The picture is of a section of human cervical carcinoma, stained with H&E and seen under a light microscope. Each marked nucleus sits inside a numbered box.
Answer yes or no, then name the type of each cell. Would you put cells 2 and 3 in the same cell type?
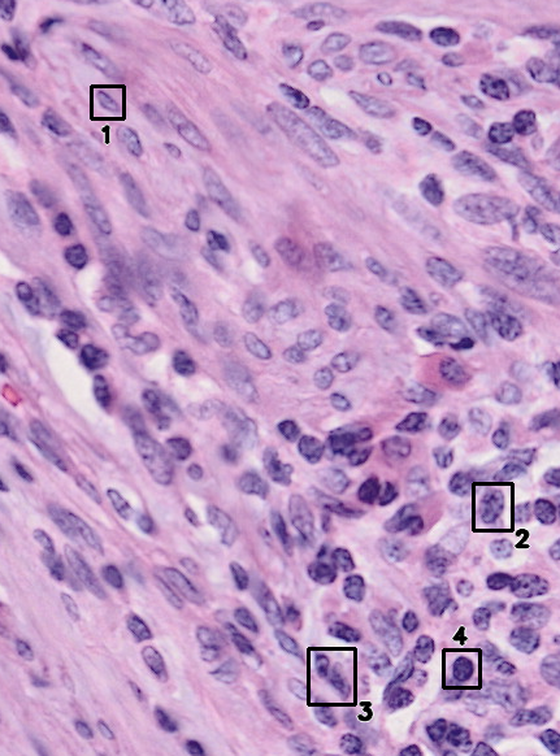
Yes, in terms of cell type, cells 2 and 3 are both lymphocytes.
